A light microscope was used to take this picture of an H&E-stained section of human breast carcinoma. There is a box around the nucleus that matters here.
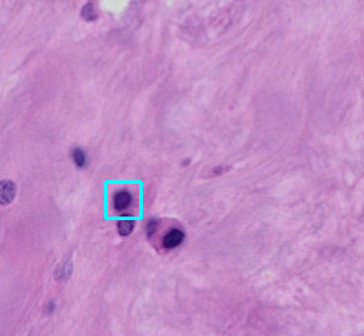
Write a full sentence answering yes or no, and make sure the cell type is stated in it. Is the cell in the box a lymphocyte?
Yes, the cell in the box is a lymphocyte by cell type.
